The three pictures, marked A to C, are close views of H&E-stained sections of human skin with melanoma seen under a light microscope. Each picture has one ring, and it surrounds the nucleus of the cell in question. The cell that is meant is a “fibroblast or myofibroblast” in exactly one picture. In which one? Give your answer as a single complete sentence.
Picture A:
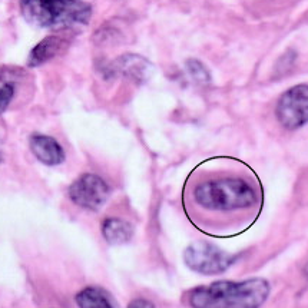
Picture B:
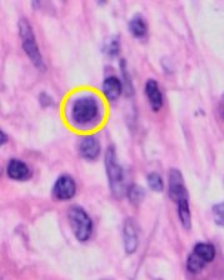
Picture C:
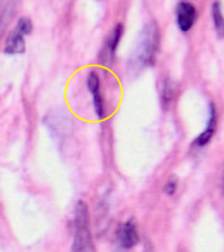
It is picture C that shows the “fibroblast or myofibroblast”.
